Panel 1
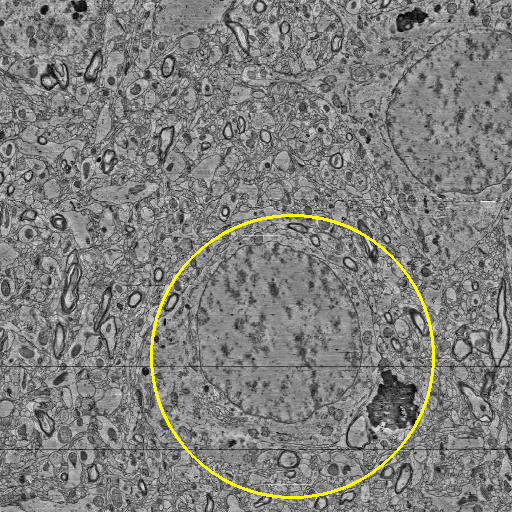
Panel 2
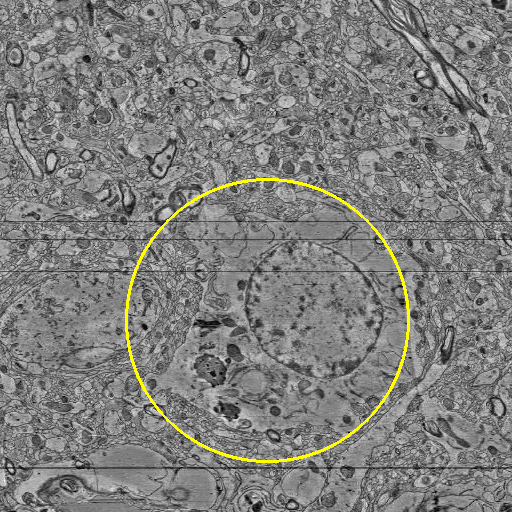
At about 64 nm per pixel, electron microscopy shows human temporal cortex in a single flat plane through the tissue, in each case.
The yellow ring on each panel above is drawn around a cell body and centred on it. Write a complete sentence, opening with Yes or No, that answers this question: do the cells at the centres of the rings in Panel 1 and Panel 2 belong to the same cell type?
No, the two cells belong to two cell types.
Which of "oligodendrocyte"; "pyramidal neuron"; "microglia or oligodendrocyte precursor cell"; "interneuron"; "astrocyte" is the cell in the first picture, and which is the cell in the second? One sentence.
The two differ: the first cell is a pyramidal neuron and the second is an astrocyte.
